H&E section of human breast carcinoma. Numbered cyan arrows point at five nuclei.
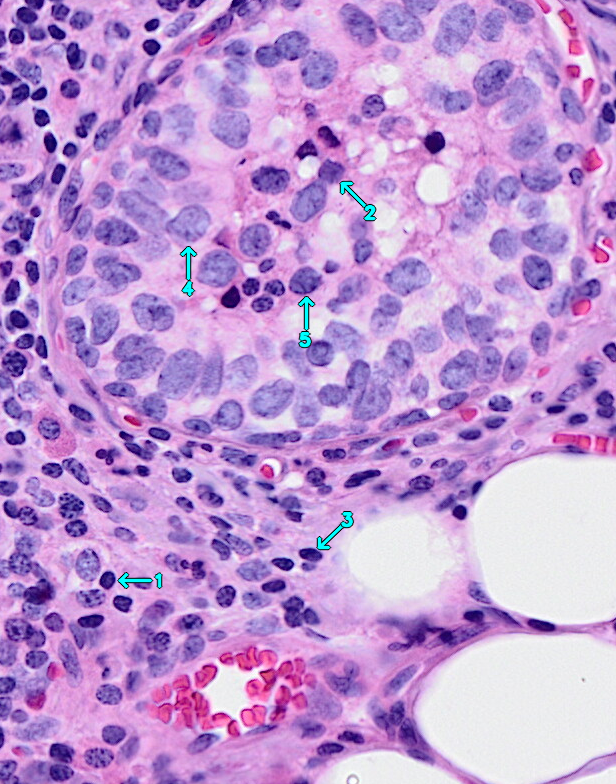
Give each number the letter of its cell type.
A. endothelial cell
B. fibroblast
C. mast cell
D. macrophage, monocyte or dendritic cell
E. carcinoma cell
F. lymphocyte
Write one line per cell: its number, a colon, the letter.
1: F
2: E
3: F
4: E
5: E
